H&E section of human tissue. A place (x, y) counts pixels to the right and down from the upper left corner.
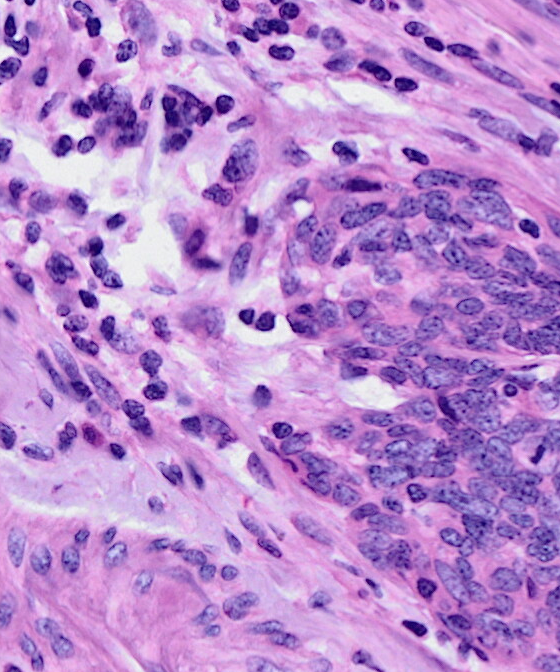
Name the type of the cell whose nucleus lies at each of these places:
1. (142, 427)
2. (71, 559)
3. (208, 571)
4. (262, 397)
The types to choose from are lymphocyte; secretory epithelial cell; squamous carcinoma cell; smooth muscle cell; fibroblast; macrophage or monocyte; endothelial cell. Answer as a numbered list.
1. lymphocyte
2. smooth muscle cell
3. smooth muscle cell
4. lymphocyte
